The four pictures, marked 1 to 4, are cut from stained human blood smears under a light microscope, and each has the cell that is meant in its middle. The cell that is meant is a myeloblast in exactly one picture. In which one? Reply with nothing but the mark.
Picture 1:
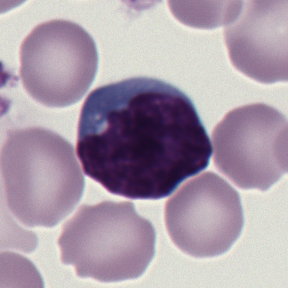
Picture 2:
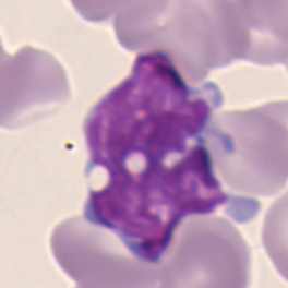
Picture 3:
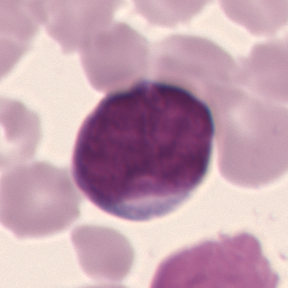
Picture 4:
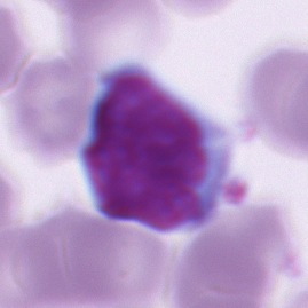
3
